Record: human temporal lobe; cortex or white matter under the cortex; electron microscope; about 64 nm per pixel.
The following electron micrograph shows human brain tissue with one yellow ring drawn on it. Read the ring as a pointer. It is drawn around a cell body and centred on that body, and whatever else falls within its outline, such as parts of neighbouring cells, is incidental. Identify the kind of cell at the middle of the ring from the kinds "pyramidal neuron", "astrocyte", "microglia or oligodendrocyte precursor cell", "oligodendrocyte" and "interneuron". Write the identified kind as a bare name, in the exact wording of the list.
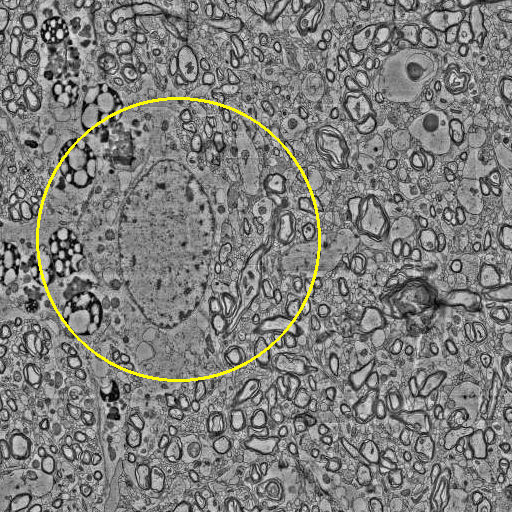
astrocyte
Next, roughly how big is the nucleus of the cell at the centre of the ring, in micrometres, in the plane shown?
In this plane, about 11 by 7 micrometres: the nucleus is clearly longer than it is wide.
